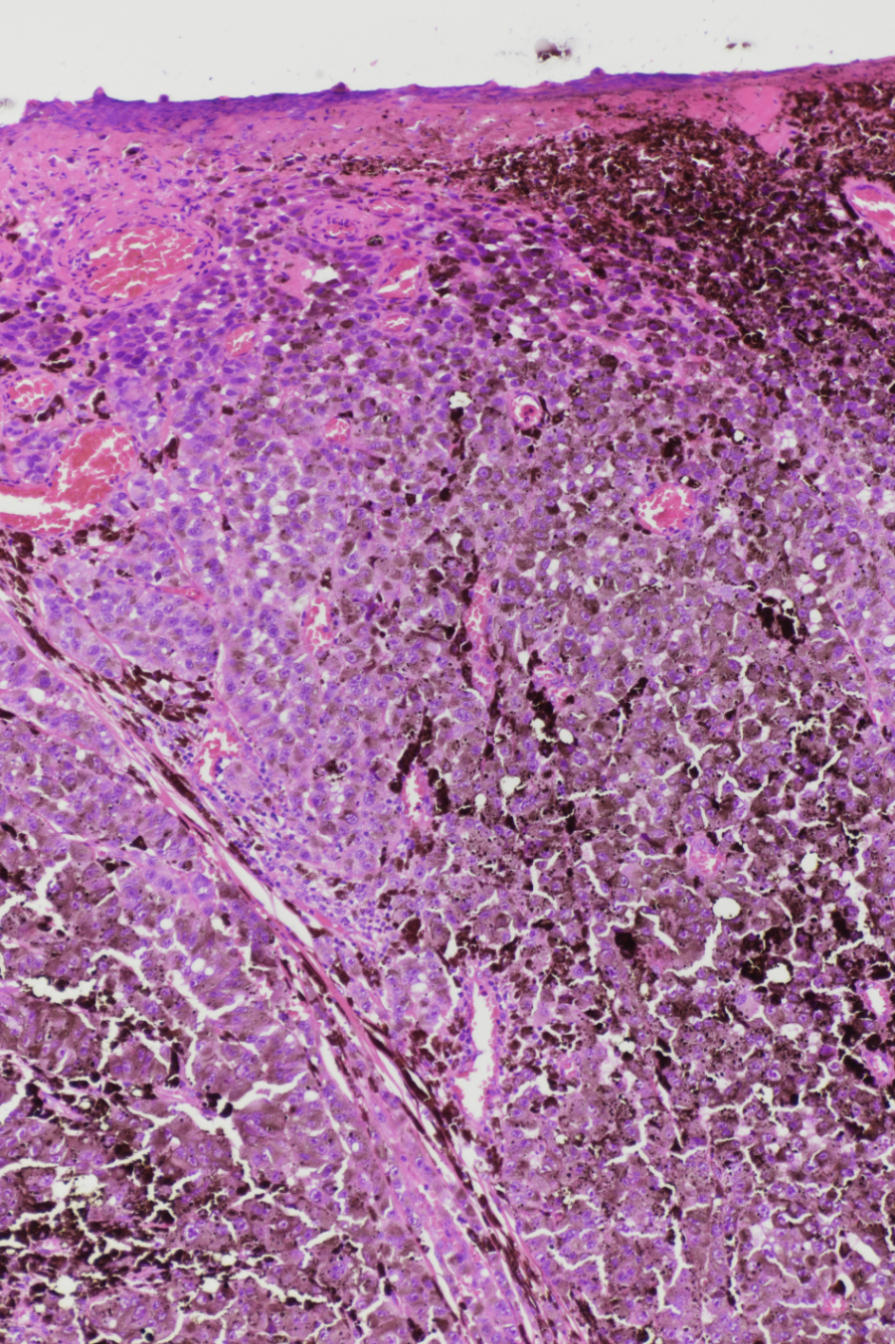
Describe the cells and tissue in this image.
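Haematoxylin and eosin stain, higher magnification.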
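This is a section of a melanoma beneath a thin, flattened epithelial surface at the top. Large atypical melanocytes fill the tissue in confluent nests and sheets of varying size, with no clear border. The cells are polygonal, with round to oval purple nuclei, some with visible nucleoli, and ample pale pink-violet cytoplasm; nuclear size varies noticeably. Coarse dark brown-black pigment is scattered through the tumour, densest near the surface at upper right and in clumps along clefts. Thin pink fibrous bands cross the field diagonally, and small vessels filled with red blood cells lie within the upper part. Artefactual clefts split the cell sheets in the lower half.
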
